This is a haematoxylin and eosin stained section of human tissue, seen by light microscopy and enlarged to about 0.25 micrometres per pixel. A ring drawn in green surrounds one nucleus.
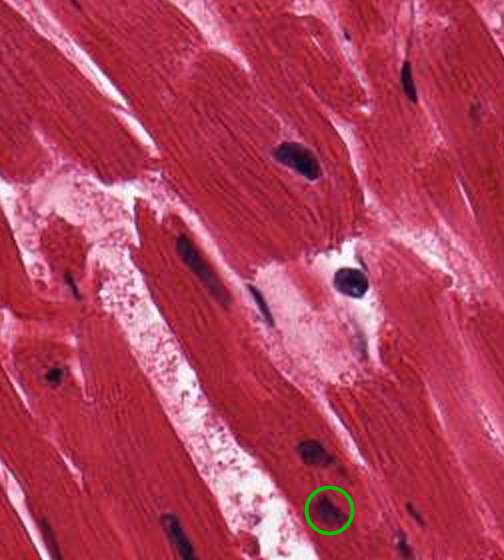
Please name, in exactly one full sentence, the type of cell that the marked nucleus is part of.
The marked nucleus is the nucleus of a cardiomyocyte.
